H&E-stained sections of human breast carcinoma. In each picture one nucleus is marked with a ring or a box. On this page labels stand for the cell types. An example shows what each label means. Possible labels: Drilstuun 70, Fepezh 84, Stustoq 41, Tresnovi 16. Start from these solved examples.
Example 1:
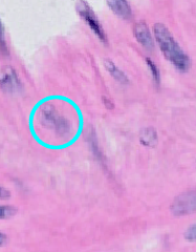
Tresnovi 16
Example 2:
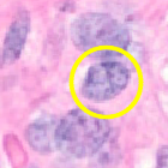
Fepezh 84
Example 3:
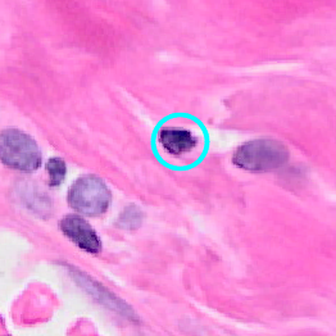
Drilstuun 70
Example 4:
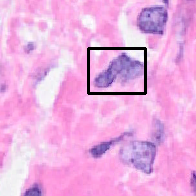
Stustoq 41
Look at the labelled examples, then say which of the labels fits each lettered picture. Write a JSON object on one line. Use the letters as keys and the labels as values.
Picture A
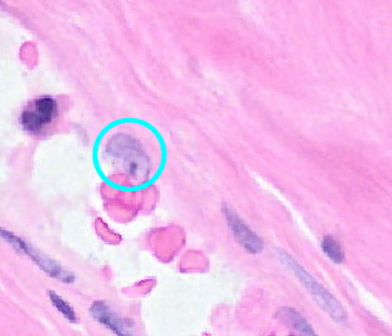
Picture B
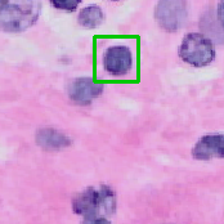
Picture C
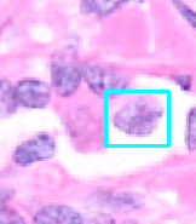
{"A": "Tresnovi 16", "B": "Drilstuun 70", "C": "Fepezh 84"}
